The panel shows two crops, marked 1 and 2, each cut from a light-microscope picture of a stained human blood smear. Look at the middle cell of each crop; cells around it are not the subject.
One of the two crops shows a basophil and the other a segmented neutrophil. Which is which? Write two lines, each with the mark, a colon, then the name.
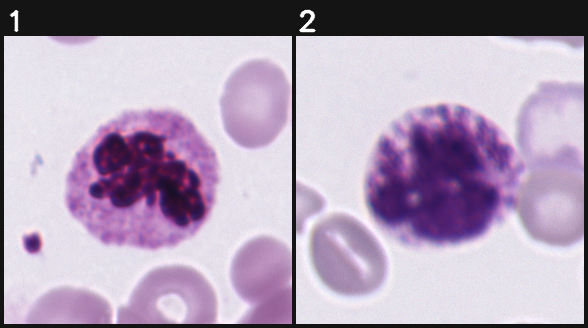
1: segmented neutrophil
2: basophil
